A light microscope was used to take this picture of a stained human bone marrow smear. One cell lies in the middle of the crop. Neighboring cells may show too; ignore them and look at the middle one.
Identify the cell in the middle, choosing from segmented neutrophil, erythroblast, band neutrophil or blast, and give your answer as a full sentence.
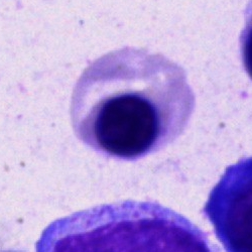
In the central position of this crop, the cell is an erythroblast.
